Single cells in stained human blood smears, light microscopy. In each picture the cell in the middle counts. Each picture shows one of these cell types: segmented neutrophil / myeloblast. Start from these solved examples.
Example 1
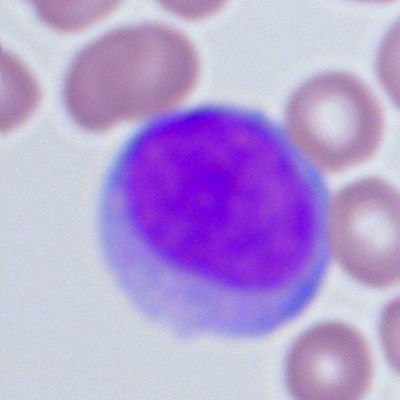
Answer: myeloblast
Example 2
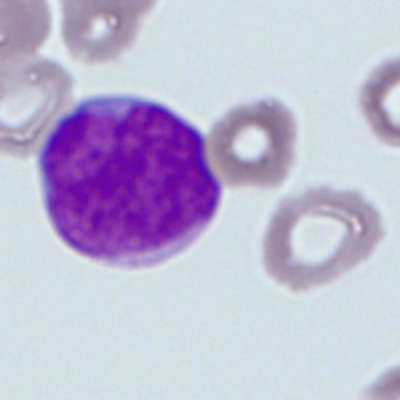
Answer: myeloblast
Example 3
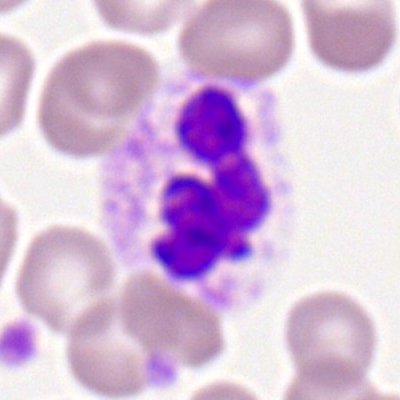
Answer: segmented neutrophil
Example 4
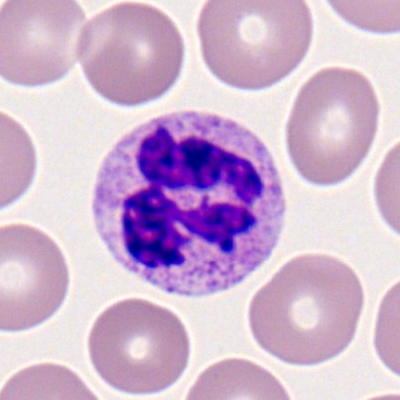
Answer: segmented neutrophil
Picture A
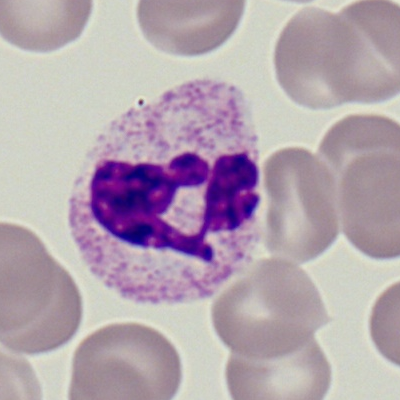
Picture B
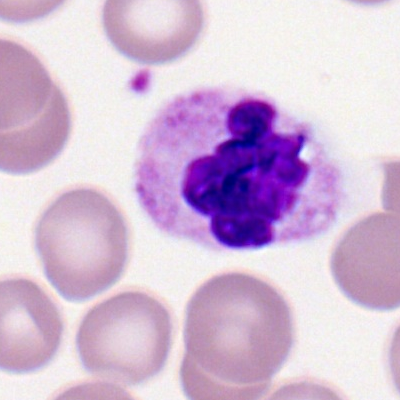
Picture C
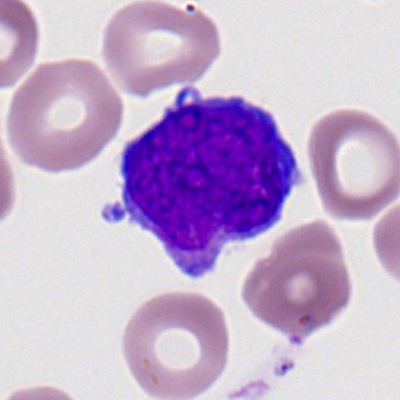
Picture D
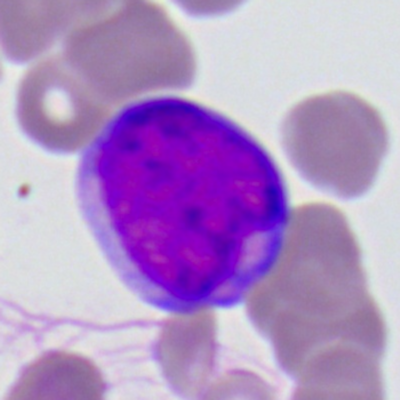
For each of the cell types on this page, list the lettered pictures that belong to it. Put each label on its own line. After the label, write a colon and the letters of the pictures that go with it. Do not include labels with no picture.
segmented neutrophil: A, B
myeloblast: C, D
